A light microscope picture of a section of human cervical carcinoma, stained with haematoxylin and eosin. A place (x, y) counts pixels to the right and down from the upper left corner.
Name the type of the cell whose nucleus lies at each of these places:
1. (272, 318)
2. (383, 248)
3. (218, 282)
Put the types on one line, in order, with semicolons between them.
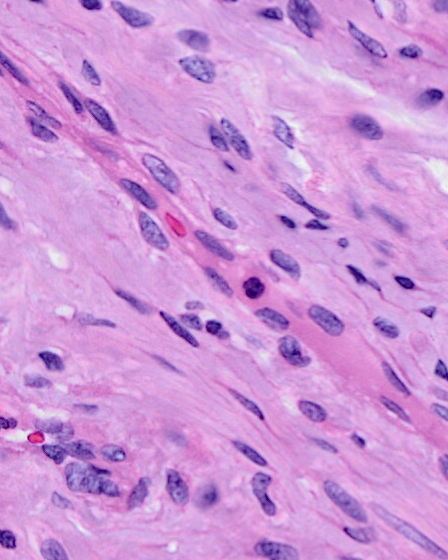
endothelial cell; fibroblast; endothelial cell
